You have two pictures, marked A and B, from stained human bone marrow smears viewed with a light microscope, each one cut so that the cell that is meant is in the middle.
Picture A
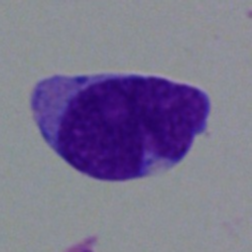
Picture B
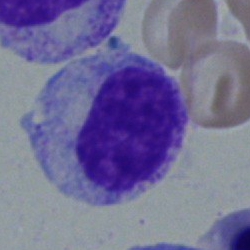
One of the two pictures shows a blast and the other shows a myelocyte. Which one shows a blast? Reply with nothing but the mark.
A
